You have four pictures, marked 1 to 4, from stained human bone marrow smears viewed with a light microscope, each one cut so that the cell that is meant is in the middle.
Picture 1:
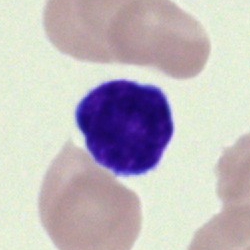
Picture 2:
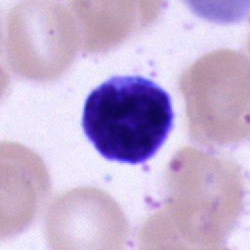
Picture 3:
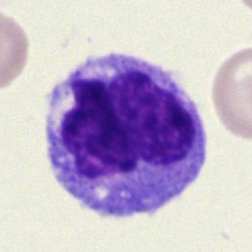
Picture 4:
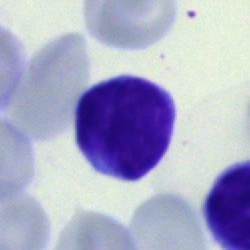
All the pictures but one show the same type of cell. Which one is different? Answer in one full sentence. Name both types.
The others show lymphocytes, but picture 3 shows a monocyte.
